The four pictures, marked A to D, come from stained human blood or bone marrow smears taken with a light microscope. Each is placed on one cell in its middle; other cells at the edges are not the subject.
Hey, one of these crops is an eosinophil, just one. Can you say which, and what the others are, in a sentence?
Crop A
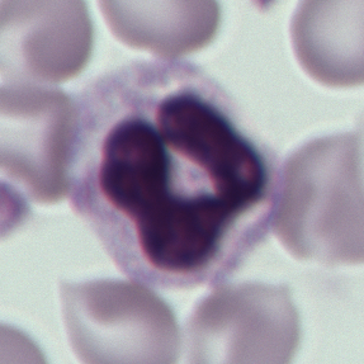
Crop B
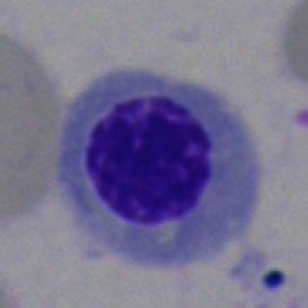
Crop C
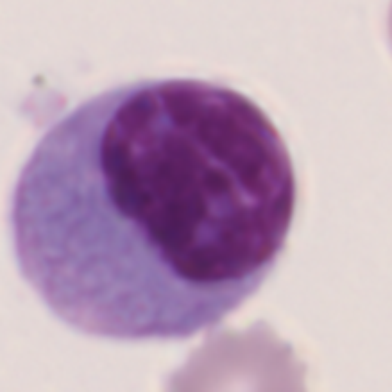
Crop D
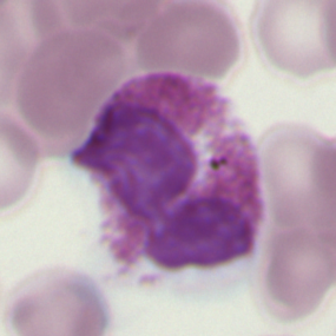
Crop D carries an eosinophil in its middle, whereas crop A is a segmented neutrophil, crop B is an erythroblast and crop C is a plasma cell.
